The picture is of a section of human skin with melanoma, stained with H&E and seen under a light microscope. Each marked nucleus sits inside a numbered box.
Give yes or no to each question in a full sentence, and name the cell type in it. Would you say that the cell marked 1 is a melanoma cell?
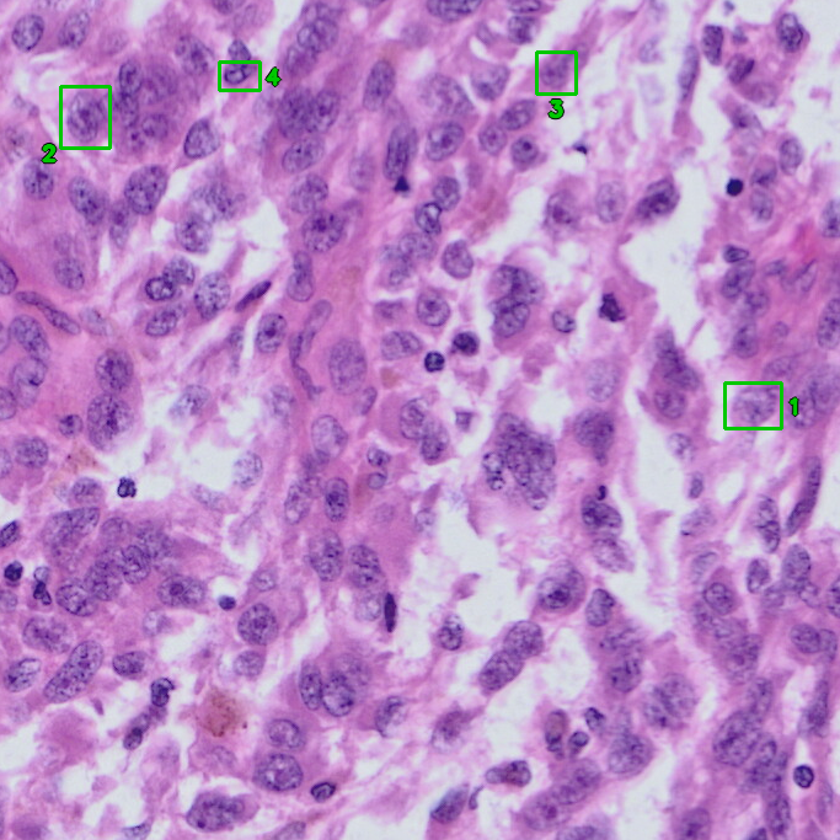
Yes, and to answer plainly, cell 1 is a melanoma cell.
